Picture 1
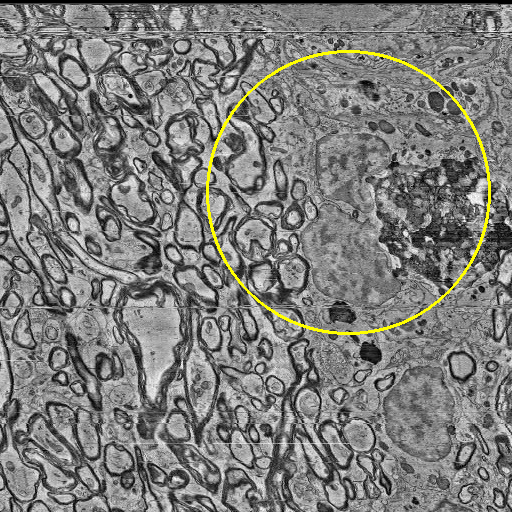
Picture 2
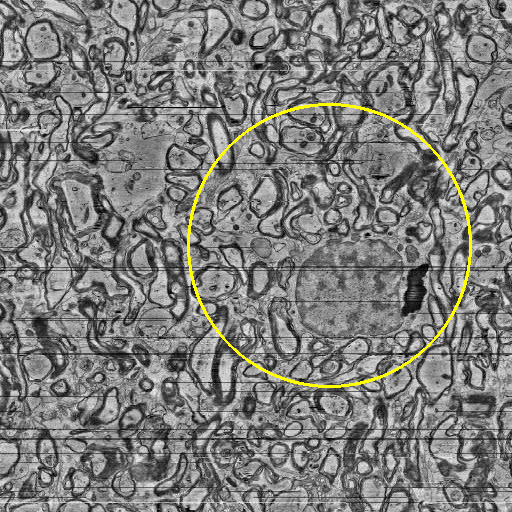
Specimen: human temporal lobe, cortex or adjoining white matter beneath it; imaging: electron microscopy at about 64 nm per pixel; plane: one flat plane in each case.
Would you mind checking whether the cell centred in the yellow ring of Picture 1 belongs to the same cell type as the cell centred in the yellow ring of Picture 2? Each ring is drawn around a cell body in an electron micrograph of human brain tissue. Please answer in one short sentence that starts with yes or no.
No, the two cells are of two types.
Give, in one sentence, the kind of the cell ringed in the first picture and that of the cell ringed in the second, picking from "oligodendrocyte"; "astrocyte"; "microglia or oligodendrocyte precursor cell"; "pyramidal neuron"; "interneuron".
For the first picture it is a microglial cell or oligodendrocyte precursor cell; for the second, an oligodendrocyte.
